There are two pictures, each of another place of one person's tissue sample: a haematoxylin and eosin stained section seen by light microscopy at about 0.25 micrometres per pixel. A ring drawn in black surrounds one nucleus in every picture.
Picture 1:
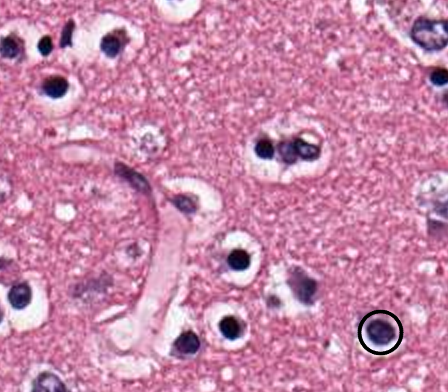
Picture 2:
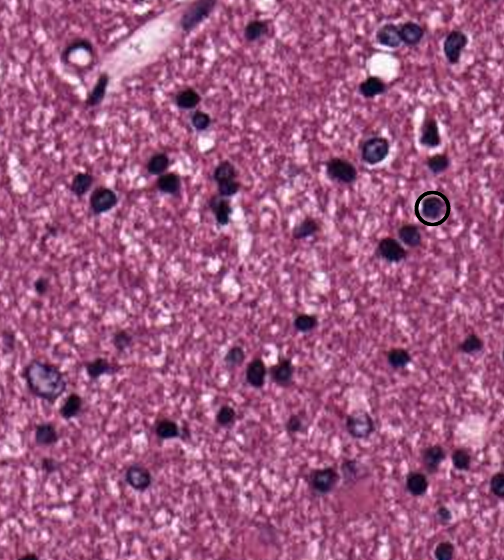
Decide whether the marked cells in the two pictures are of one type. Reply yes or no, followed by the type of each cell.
Yes, both are oligodendrocytes.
